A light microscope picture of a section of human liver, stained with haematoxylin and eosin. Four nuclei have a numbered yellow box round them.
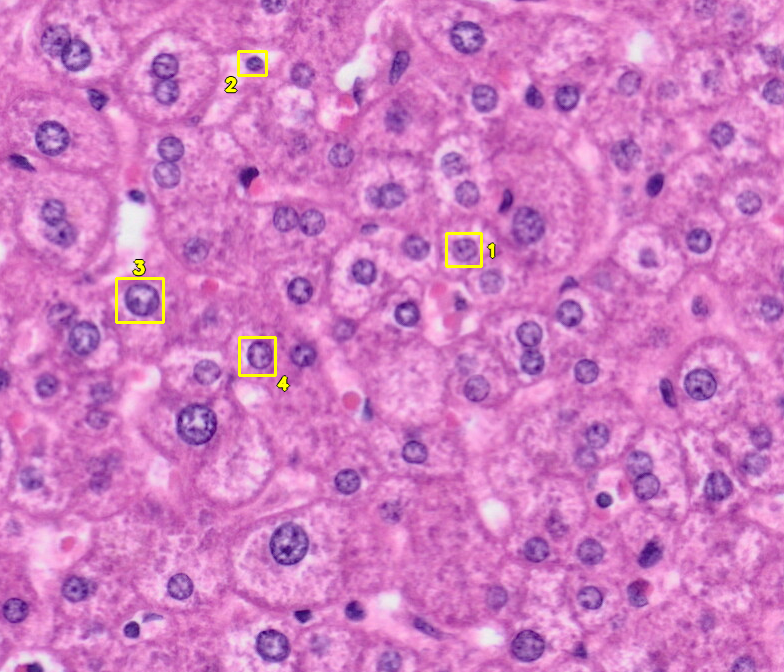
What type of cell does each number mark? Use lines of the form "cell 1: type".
cell 1: hepatocyte
cell 2: lymphocyte
cell 3: hepatocyte
cell 4: hepatocyte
